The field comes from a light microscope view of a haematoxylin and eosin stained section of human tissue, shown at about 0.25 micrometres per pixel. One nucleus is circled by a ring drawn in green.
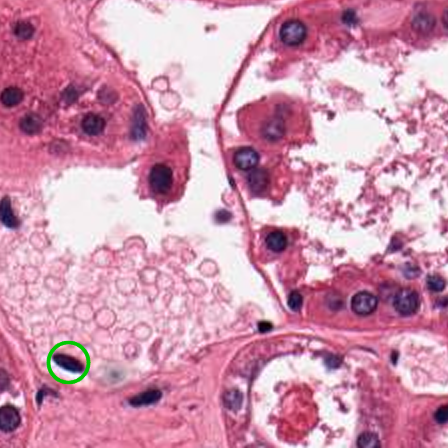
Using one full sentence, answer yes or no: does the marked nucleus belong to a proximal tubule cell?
No, for the marked nucleus, the owning cell is a supporting cell, not a proximal tubule cell.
